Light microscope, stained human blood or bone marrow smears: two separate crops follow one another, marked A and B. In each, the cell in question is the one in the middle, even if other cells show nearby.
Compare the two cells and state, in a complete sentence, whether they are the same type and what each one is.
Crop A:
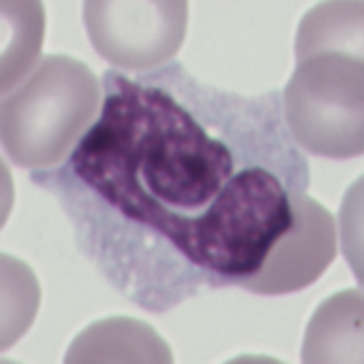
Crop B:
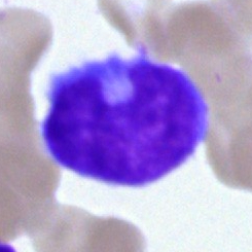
Yes, for both crops, the central cells are monocytes.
